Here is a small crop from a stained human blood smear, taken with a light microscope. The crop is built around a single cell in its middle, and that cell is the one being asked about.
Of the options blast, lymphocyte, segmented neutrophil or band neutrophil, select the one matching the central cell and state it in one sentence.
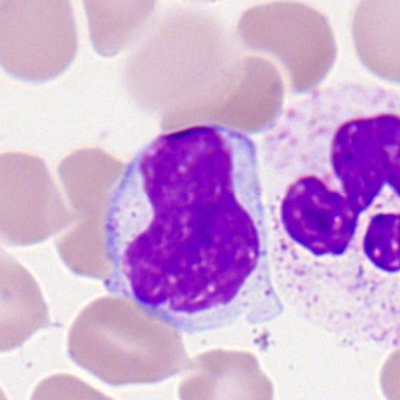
In the centre of this crop there is a lymphocyte.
